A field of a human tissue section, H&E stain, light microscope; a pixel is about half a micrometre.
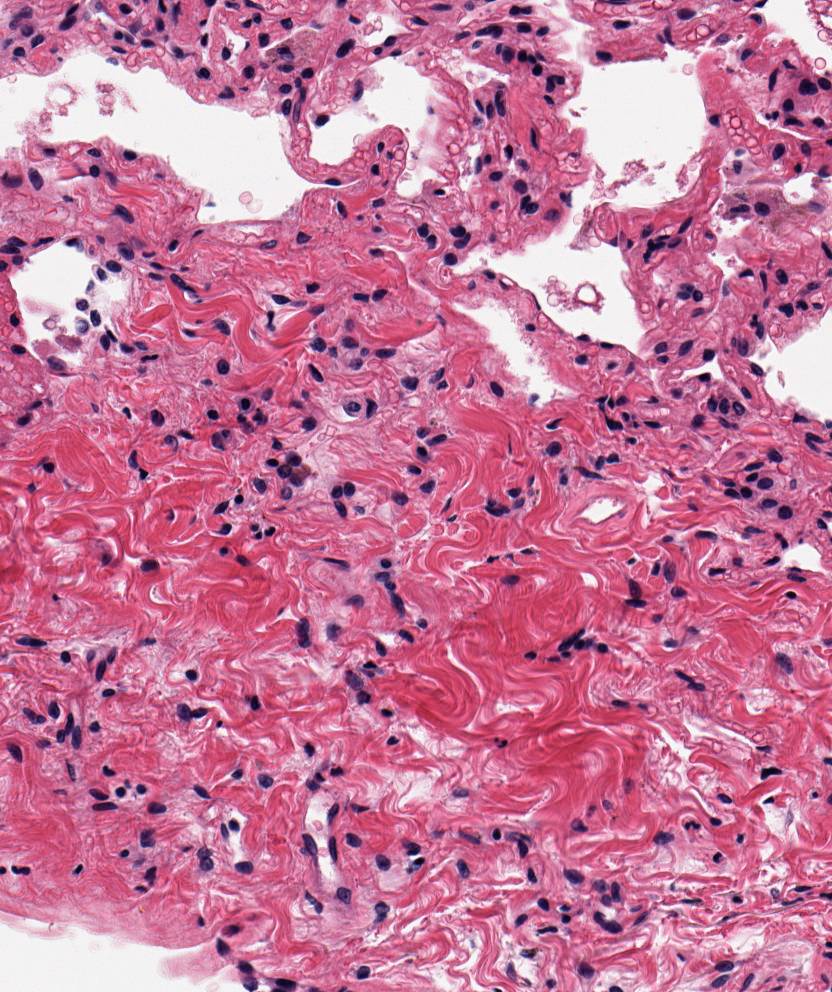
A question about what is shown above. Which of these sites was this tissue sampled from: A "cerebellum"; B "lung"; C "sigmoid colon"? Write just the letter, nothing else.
B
